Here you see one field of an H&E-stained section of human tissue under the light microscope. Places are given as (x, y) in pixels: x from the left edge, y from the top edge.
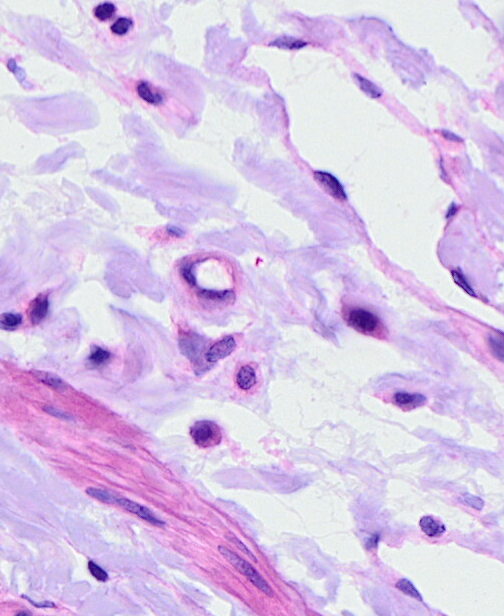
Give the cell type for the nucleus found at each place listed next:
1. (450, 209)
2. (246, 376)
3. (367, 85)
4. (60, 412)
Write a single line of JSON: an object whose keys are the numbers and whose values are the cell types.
{"1": "endothelial cell", "2": "macrophage or monocyte", "3": "endothelial cell", "4": "smooth muscle cell"}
